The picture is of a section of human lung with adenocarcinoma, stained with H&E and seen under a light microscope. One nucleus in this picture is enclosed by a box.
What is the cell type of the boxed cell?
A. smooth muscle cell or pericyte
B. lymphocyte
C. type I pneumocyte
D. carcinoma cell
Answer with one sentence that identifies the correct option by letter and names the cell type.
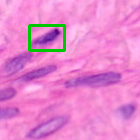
In agreement with option A, the boxed cell is a smooth muscle cell or pericyte.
